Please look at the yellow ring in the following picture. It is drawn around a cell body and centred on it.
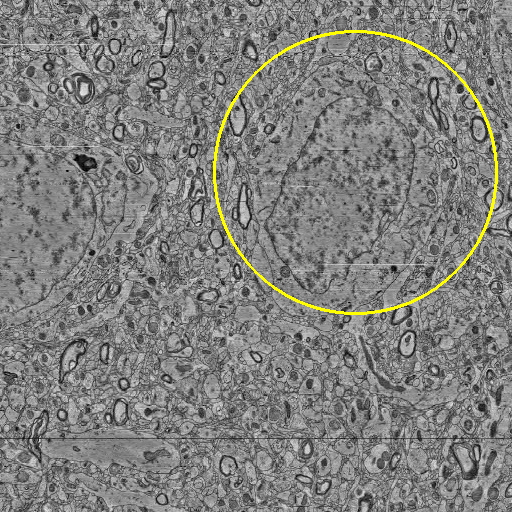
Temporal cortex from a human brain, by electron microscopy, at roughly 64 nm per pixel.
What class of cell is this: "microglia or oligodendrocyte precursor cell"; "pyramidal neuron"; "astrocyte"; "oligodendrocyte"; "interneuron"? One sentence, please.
The ring surrounds the cell body of a pyramidal neuron.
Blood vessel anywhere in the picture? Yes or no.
No, there is no blood vessel.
